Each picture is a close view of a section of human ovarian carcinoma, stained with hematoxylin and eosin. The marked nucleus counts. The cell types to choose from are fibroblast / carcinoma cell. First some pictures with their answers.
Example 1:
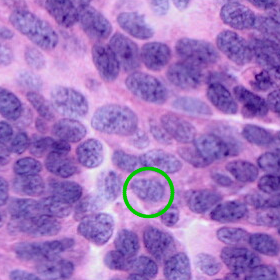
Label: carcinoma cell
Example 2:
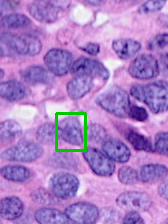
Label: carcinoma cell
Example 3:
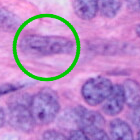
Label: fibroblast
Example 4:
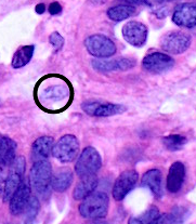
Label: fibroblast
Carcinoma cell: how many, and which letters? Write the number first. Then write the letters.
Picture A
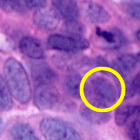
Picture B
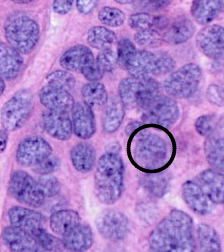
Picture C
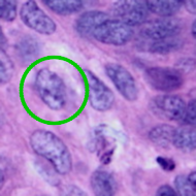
Count: 2 (A, B)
